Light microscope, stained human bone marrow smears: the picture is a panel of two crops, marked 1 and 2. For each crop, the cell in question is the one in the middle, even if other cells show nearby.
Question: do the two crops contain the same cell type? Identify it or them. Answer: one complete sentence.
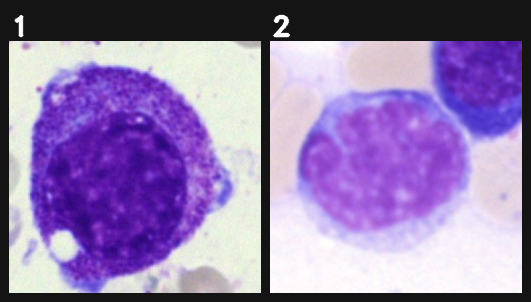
No, crop 1 matches a promyelocyte and crop 2 matches a monocyte.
